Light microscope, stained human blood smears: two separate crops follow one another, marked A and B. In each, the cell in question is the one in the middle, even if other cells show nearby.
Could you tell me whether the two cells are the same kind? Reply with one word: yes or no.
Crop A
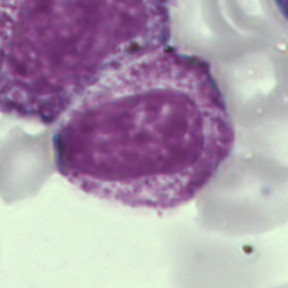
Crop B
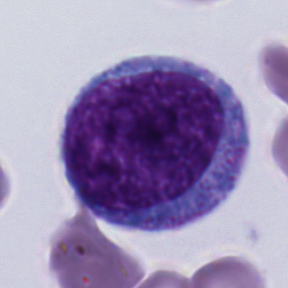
no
